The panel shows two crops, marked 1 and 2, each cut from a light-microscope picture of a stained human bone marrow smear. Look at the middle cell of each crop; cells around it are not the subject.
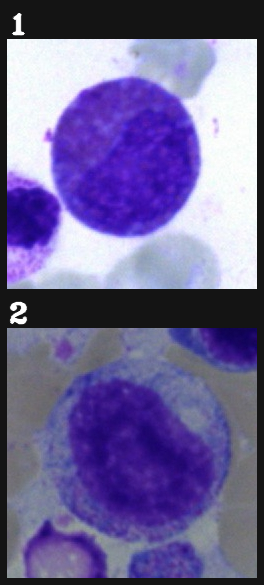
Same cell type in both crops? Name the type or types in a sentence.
No, crop 1 features an eosinophil, while crop 2 features a myelocyte.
